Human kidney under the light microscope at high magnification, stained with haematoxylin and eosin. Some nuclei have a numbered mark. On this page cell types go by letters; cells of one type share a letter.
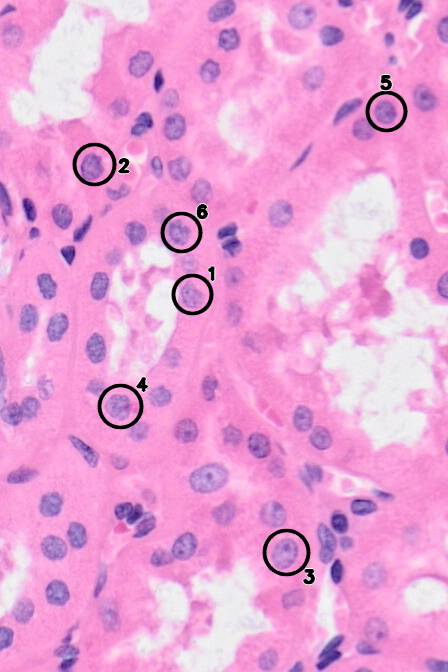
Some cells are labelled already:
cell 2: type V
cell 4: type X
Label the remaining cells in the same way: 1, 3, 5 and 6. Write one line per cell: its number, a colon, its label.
1: type X
3: type V
5: type V
6: type X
